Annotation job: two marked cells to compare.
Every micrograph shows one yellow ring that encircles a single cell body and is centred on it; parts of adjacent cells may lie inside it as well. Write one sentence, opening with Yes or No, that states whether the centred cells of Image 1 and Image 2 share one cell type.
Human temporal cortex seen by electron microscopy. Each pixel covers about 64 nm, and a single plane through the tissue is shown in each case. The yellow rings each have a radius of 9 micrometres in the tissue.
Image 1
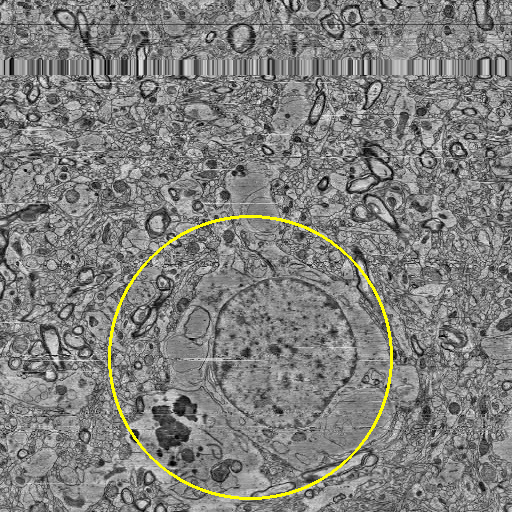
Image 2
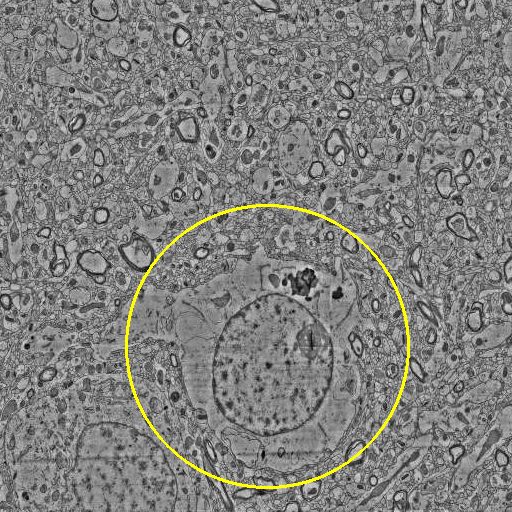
Yes, the cell centred in Image 1 shares its type with the cell centred in Image 2.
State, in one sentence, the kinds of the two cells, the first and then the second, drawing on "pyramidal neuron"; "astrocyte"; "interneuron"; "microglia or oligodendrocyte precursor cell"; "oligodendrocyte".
Both pictures show an astrocyte at the centre of the ring.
